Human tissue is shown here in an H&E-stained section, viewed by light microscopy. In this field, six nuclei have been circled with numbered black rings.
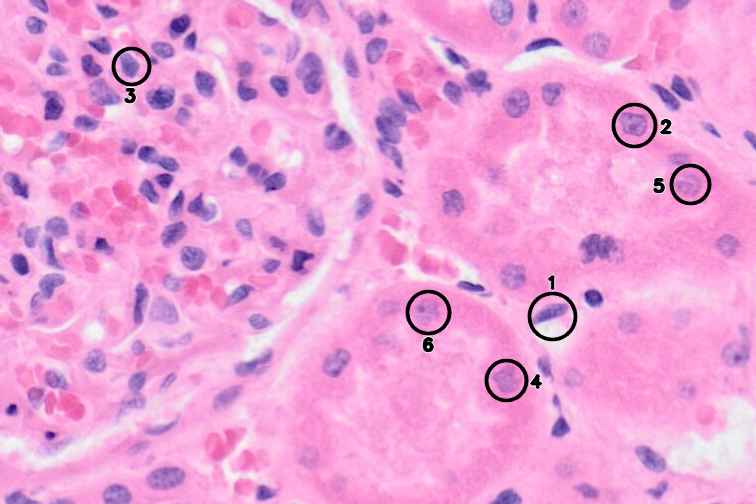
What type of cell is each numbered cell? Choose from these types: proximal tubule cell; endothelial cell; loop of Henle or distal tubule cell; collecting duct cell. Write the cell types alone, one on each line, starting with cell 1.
endothelial cell
proximal tubule cell
endothelial cell
proximal tubule cell
proximal tubule cell
proximal tubule cell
